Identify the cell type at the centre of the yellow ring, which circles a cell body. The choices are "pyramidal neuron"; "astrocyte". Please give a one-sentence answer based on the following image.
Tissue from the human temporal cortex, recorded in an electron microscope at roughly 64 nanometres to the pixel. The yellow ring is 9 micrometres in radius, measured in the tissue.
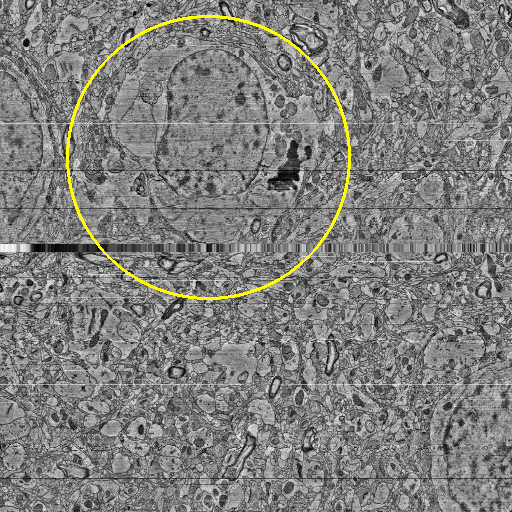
The cell marked by the ring is an astrocyte.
